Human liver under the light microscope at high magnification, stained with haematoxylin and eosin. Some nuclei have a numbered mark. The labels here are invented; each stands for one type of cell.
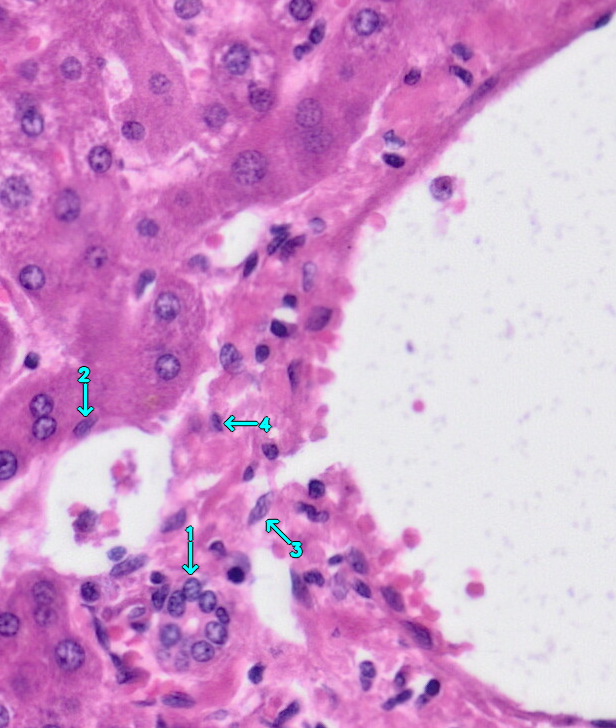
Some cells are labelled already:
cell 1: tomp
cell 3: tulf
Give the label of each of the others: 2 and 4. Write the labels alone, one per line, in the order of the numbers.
tulf
tulf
